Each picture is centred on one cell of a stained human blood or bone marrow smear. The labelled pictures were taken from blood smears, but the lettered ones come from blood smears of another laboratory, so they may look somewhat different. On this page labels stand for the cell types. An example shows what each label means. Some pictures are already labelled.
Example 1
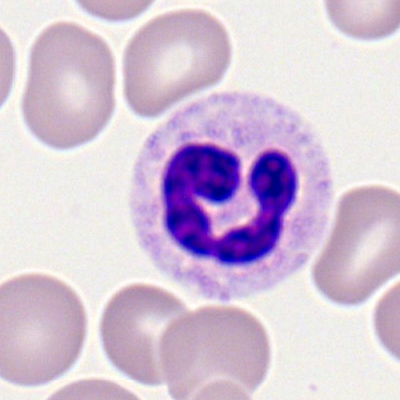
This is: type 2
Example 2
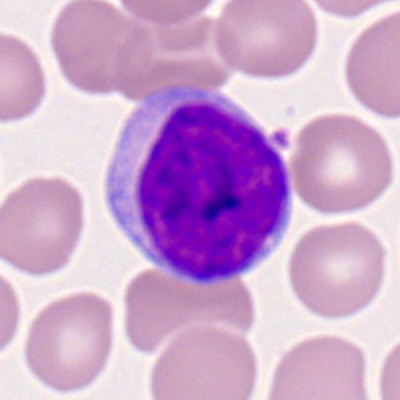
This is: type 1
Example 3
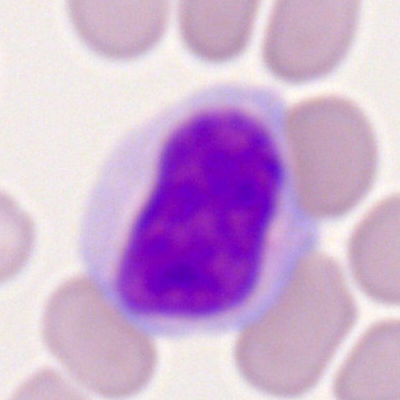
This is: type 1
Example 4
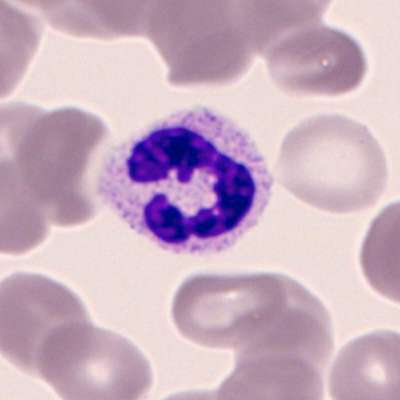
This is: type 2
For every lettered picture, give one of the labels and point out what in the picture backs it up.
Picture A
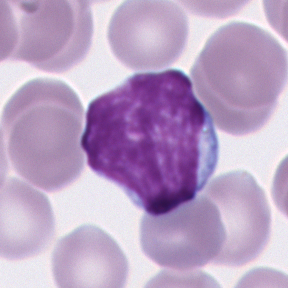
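type 1: The cytoplasm forms a narrow crescent mainly on the right side.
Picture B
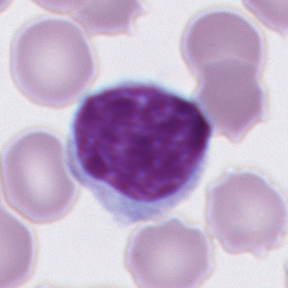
type 1: The cytoplasm forms a thin rim that is widest below the nucleus.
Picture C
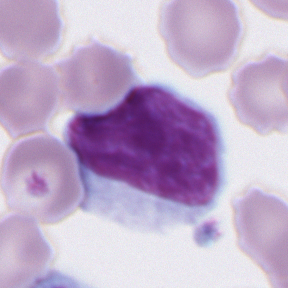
type 1: The nucleus fills most of the cell, leaving cytoplasm mainly as a band along its lower edge.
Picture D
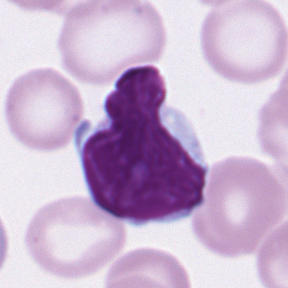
type 1: The cytoplasm is a scant rim that stains pale blue.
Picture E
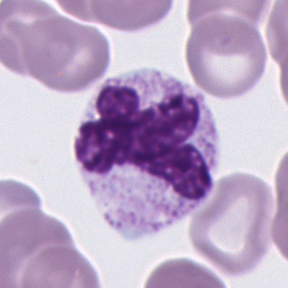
type 2: The cytoplasm is very pale, almost colourless with a faint pinkish-lilac tint.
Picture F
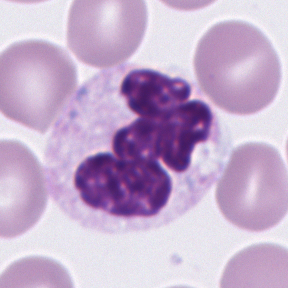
type 2: The nucleus is divided into several connected lobes.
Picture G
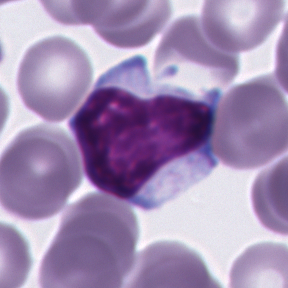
type 1: The nucleus fills most of the cell, leaving a modest rim of cytoplasm.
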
